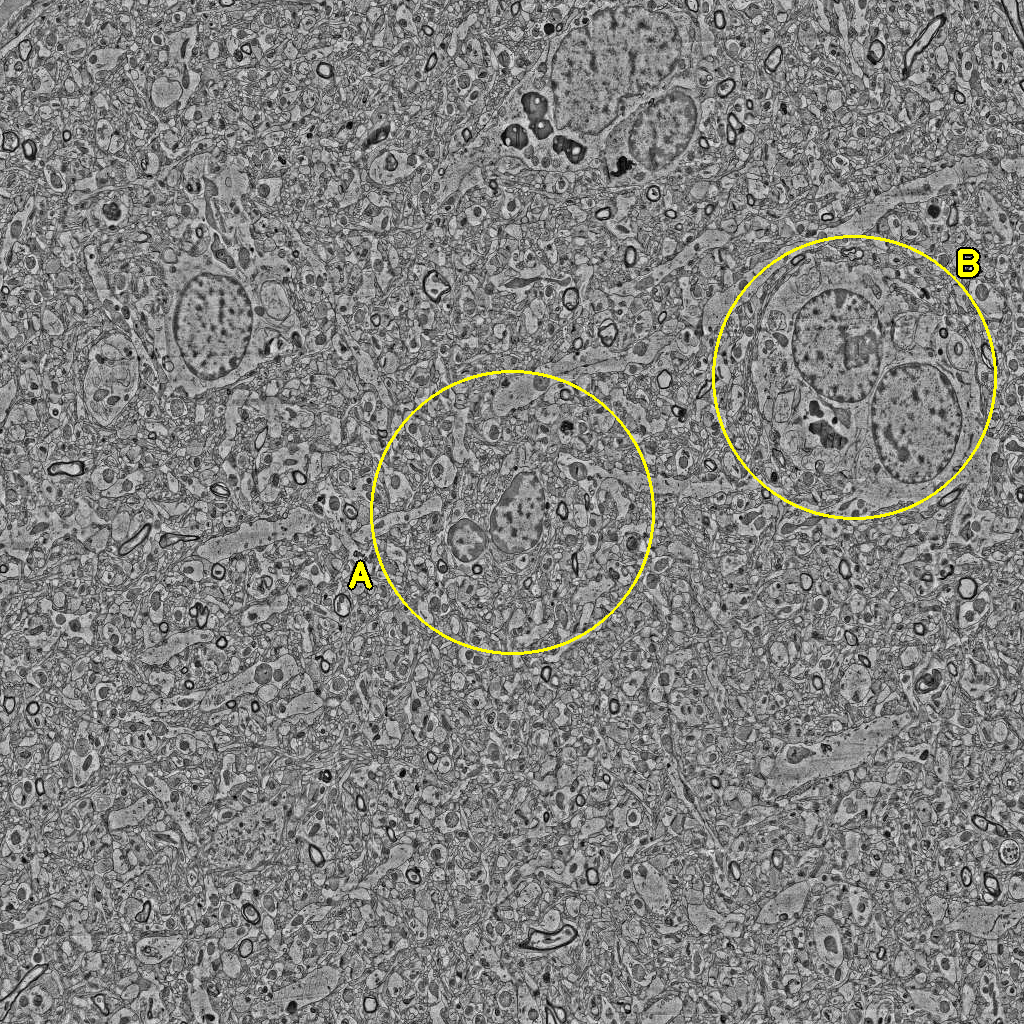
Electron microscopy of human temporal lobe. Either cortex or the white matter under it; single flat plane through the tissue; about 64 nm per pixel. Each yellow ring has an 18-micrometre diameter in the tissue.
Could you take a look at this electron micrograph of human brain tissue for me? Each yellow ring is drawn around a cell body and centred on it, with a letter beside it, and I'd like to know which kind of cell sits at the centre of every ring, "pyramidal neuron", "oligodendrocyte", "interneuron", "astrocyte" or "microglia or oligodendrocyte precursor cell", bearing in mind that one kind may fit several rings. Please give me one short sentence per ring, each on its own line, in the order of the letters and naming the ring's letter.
Ring A is centred on a microglial cell or oligodendrocyte precursor cell.
Ring B is centred on an astrocyte.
